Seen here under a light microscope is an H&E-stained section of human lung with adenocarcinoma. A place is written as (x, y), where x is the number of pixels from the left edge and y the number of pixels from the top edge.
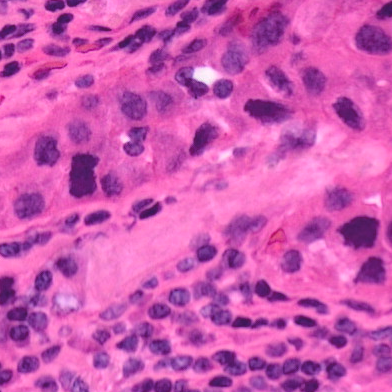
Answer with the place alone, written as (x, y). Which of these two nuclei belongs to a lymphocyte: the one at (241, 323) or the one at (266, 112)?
(241, 323)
